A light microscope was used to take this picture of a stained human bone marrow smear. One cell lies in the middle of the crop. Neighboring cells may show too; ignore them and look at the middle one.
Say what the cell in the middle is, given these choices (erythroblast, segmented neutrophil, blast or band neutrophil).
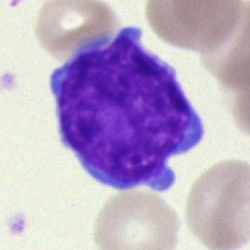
blast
